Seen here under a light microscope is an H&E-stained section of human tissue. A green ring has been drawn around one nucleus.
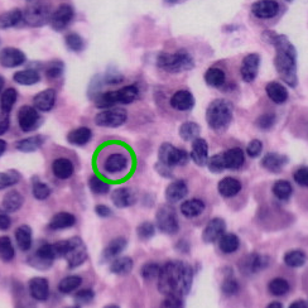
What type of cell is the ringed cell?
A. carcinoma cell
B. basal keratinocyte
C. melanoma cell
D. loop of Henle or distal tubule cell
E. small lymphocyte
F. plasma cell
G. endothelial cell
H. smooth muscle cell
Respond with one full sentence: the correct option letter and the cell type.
Among the choices, option F is correct, the ringed cell being a plasma cell.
